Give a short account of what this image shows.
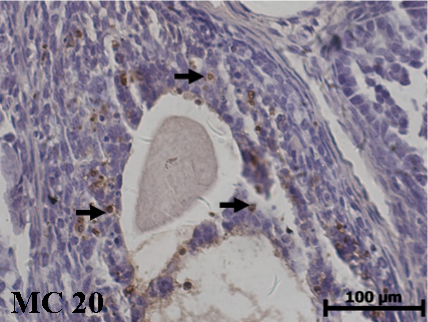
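A follicle with a cavity holding pale, homogeneous material is surrounded by several layers of small cells with round blue nuclei. Outside these layers lie bands of elongated, spindle-shaped cells running parallel to the follicle wall. Scattered among the rounded cells are small dark-brown dots and brown-stained nuclei, often in small clusters.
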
